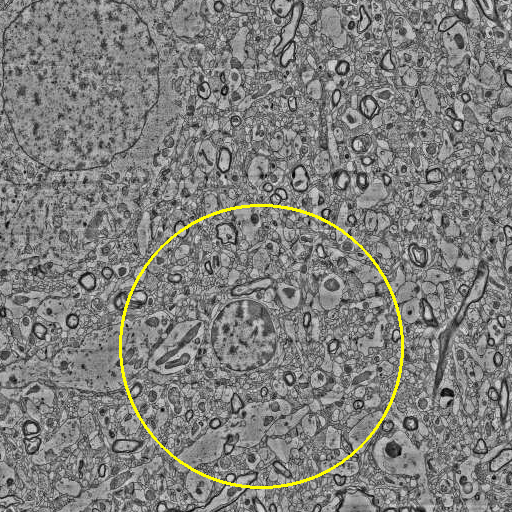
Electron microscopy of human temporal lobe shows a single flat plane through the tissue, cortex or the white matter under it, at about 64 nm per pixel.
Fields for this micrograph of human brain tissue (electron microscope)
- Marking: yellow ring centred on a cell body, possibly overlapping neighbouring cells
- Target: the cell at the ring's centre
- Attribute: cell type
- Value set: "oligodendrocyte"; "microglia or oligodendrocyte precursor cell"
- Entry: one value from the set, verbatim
microglia or oligodendrocyte precursor cell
